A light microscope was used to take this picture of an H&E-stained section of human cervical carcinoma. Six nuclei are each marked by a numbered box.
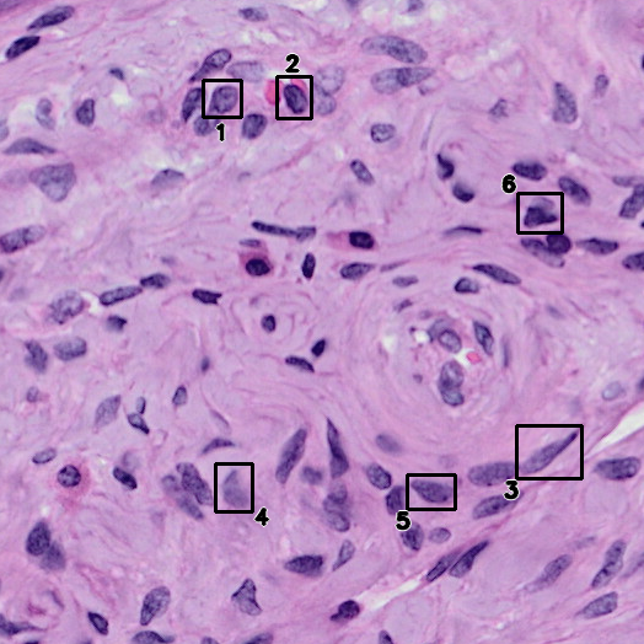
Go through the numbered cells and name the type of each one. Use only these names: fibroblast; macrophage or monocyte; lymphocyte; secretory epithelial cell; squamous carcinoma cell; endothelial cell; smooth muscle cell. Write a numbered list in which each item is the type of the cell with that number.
1. endothelial cell
2. endothelial cell
3. fibroblast
4. fibroblast
5. fibroblast
6. fibroblast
